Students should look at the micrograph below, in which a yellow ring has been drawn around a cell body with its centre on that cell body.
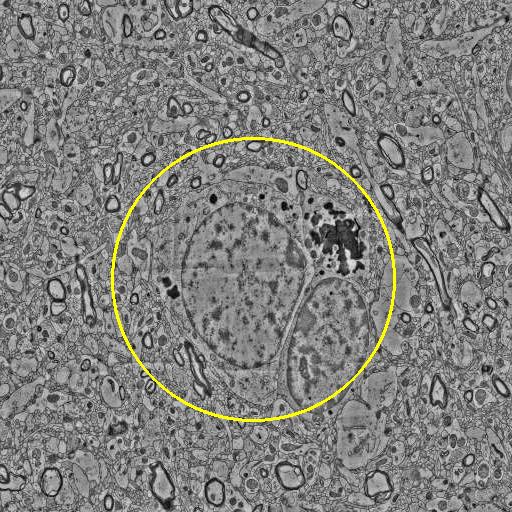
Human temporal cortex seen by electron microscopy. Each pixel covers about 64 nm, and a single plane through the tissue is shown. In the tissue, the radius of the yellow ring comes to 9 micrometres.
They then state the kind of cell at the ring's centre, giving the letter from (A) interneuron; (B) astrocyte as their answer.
A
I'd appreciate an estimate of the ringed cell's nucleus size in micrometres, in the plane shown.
Roughly 11 by 8 micrometres in this plane, for the nucleus of the ringed cell.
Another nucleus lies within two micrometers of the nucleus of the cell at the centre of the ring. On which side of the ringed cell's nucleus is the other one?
That other nucleus appears to the right of it.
